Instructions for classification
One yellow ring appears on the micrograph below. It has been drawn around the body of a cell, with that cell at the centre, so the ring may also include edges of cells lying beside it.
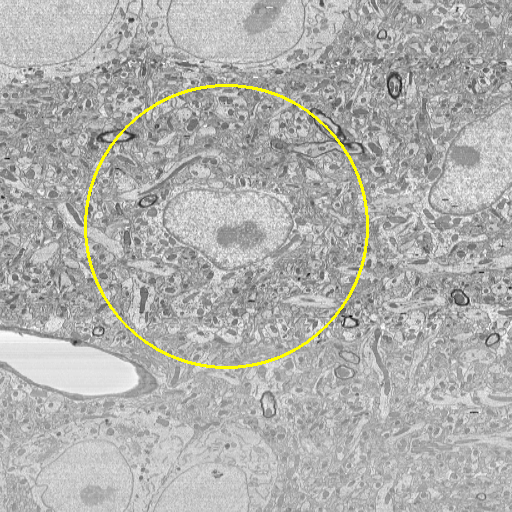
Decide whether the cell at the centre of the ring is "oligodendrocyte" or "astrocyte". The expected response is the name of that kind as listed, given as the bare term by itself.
astrocyte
